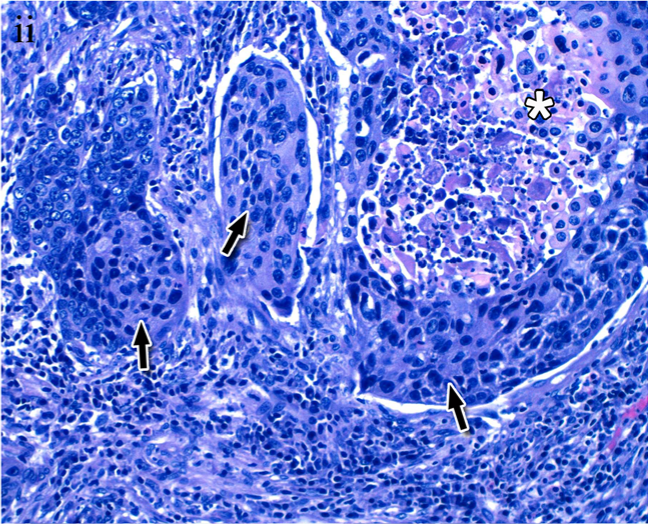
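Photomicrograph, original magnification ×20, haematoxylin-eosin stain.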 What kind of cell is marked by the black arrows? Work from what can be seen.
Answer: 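The arrows point to cohesive nests of large cells set in a cellular stroma. The cells in the nests have enlarged, irregular nuclei. The nests are sharply bounded from the surrounding stroma. The answer: atypical squamous epithelial cells.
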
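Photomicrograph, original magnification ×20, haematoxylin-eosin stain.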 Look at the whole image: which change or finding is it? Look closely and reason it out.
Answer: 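Squamous cell carcinoma. Irregular nests of large atypical epithelial cells infiltrate a stroma. The stroma between the nests is crowded with small dark inflammatory cells.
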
